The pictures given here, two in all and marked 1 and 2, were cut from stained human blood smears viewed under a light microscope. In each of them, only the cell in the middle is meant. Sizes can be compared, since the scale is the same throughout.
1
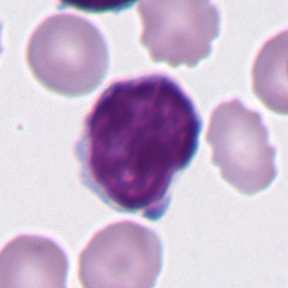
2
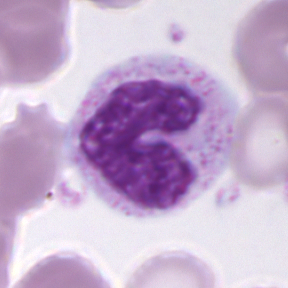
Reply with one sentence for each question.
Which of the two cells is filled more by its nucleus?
In crop 1 the nucleus takes up the larger part of its cell.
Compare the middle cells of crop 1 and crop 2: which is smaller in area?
It is the cell in crop 1; the cell in crop 2 has about 1.5 times its area.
